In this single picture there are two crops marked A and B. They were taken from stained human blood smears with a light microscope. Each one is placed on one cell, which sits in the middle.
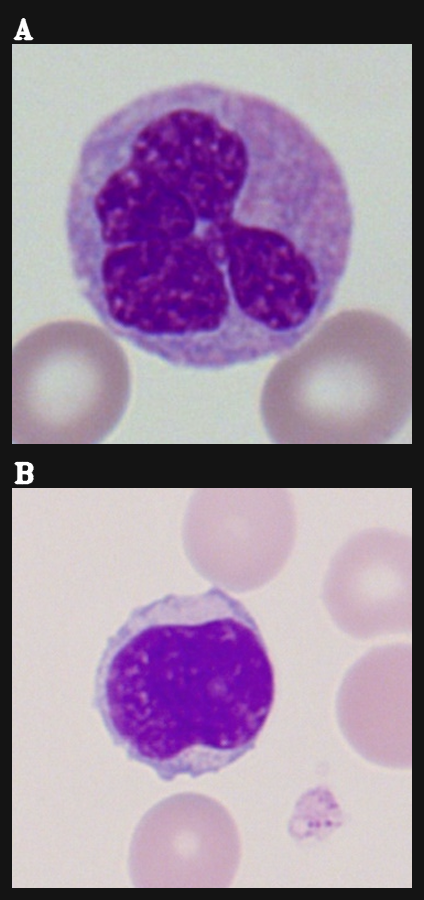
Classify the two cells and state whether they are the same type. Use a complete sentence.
No, it is a monocyte in crop A and a lymphocyte in crop B.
